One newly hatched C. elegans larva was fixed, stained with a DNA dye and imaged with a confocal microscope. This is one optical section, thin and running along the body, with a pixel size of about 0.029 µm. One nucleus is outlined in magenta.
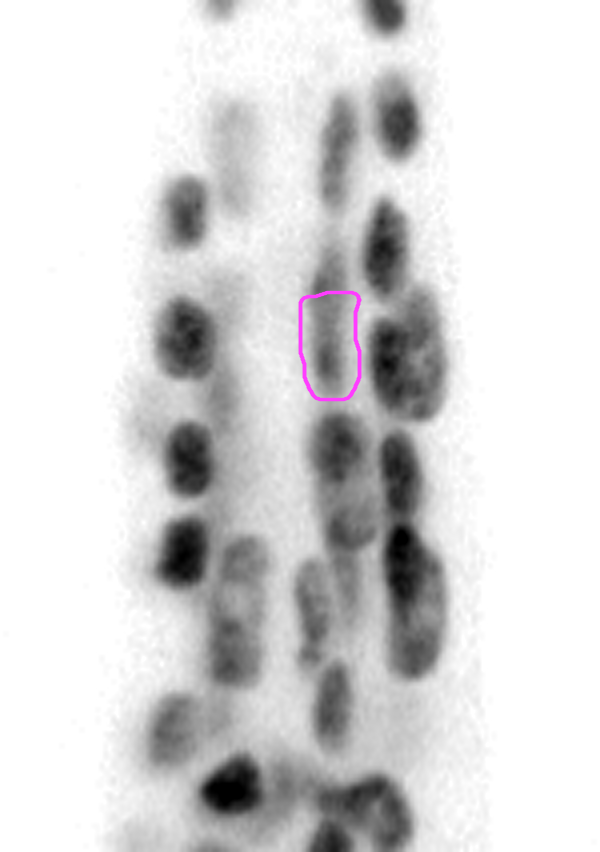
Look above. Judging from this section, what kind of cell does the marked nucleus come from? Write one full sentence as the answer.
This nucleus is from a pharyngeal muscle cell.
